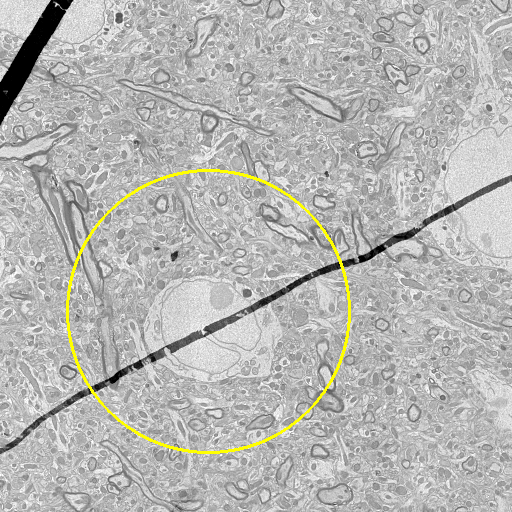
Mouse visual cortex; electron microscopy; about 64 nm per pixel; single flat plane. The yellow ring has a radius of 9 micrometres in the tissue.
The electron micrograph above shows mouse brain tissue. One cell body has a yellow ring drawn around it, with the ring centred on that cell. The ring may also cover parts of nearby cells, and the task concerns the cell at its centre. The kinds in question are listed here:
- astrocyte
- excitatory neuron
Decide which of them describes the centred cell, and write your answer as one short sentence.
The centred cell is an excitatory neuron.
